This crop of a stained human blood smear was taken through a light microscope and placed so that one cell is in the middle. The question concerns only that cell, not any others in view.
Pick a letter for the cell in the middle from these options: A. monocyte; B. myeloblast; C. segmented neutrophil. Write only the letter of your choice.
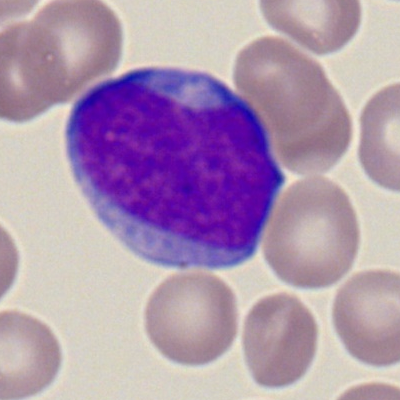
B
